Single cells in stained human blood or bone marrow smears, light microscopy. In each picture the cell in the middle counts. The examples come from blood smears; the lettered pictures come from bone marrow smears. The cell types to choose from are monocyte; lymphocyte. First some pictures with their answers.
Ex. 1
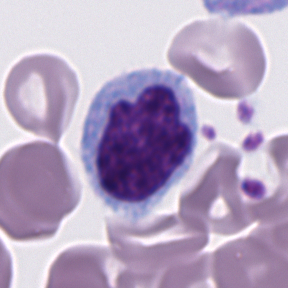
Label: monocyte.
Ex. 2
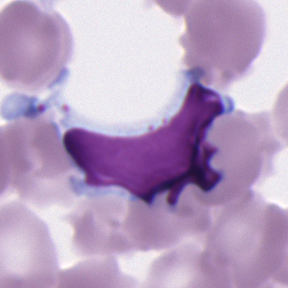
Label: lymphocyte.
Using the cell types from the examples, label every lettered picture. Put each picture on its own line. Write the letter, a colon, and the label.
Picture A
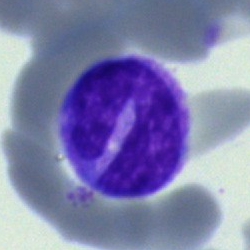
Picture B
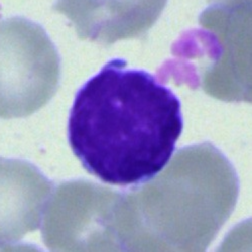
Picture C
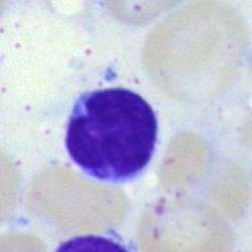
A: monocyte.
B: lymphocyte.
C: lymphocyte.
